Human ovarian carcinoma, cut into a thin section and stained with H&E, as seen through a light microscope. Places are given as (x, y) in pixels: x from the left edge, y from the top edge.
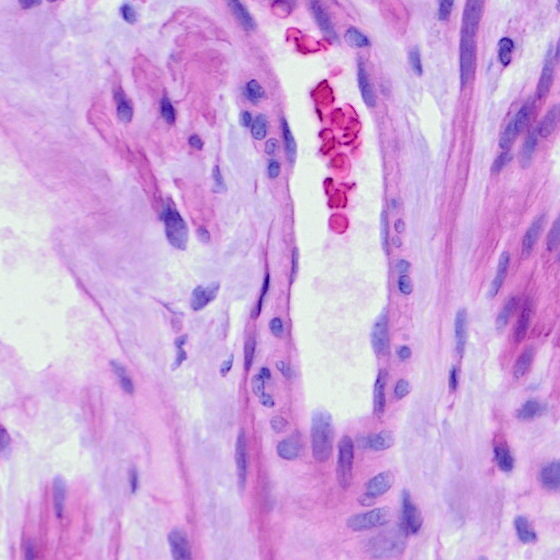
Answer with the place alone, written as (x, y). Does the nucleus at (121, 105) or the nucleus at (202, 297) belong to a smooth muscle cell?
(121, 105)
